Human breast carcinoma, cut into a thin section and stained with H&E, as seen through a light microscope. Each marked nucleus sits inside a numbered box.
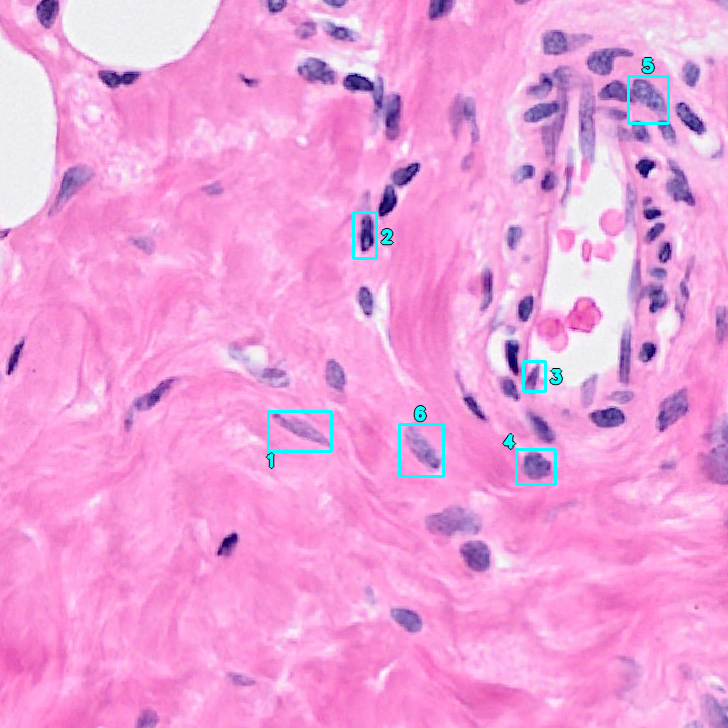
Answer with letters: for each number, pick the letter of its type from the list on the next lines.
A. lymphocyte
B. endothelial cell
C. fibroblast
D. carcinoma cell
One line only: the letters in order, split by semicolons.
C; A; B; A; B; C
